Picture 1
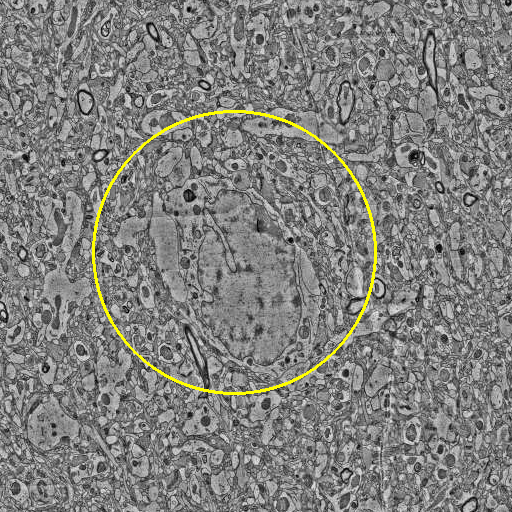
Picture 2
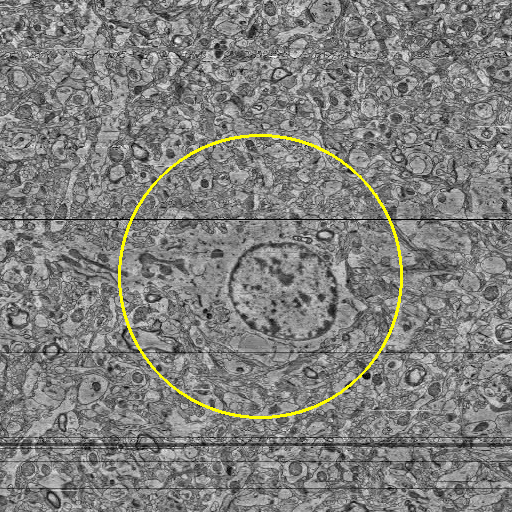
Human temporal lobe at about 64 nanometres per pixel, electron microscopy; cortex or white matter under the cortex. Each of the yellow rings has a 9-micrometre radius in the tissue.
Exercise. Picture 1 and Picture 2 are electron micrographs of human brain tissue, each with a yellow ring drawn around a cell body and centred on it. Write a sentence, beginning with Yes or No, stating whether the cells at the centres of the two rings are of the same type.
No, the cells at the centres of the rings are of two types.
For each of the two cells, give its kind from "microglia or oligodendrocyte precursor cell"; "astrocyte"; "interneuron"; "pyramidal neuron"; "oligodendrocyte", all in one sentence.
The first picture has an interneuron in its ring, the second has an astrocyte.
